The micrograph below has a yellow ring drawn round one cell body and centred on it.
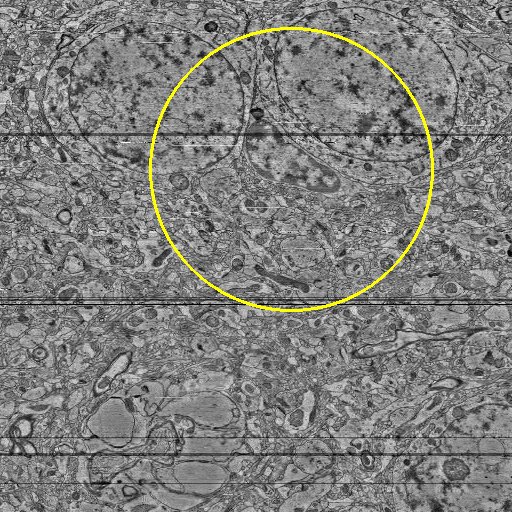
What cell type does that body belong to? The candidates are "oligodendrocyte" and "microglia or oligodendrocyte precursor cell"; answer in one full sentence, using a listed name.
This is a microglial cell or oligodendrocyte precursor cell, the cell whose body lies at the centre of the ring.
